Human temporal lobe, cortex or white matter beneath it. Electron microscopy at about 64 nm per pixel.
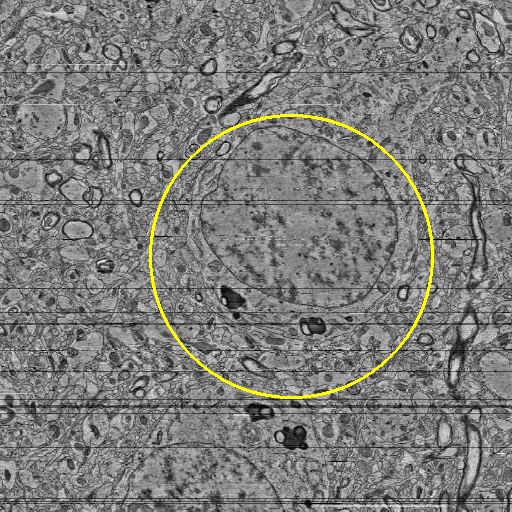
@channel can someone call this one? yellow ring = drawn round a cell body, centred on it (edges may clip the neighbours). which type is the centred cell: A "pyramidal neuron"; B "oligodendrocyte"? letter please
A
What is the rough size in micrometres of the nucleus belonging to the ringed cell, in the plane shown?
About 12 micrometers across, in this plane.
